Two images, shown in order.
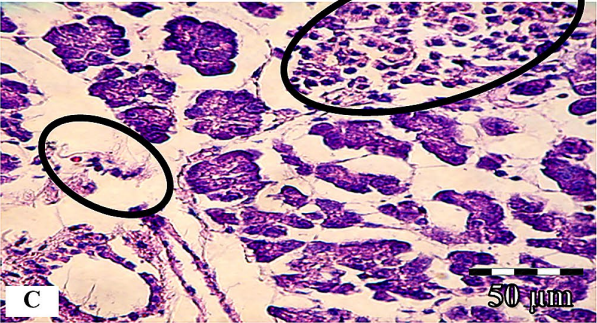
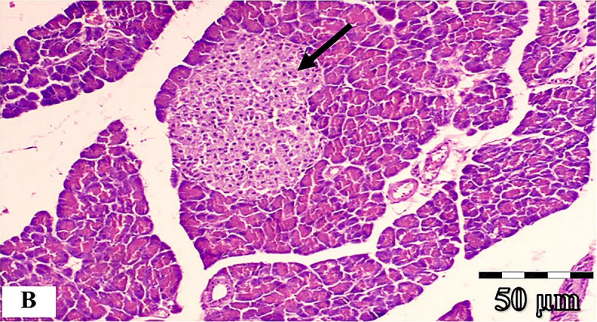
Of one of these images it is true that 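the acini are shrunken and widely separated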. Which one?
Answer: The first image.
